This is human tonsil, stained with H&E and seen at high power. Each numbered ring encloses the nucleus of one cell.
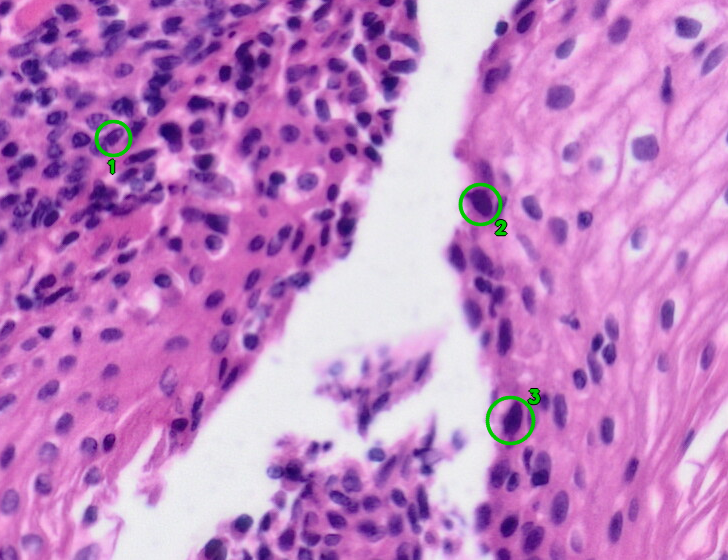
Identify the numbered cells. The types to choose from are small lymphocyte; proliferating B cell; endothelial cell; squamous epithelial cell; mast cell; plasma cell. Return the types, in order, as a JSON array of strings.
["plasma cell", "squamous epithelial cell", "squamous epithelial cell"]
